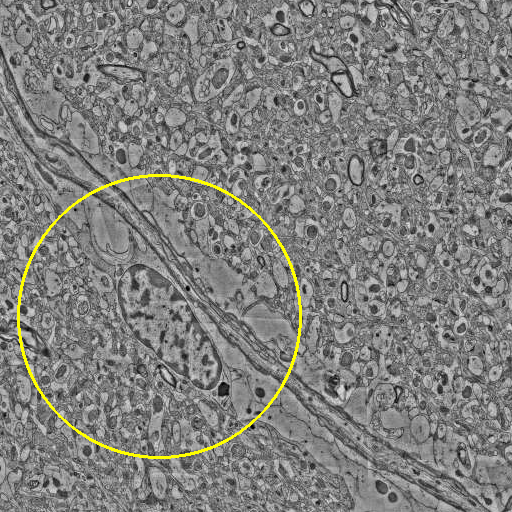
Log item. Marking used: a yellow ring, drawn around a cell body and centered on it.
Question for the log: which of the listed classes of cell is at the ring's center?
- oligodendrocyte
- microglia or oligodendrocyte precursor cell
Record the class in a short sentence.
At the center of the ring lies a microglial cell or oligodendrocyte precursor cell.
